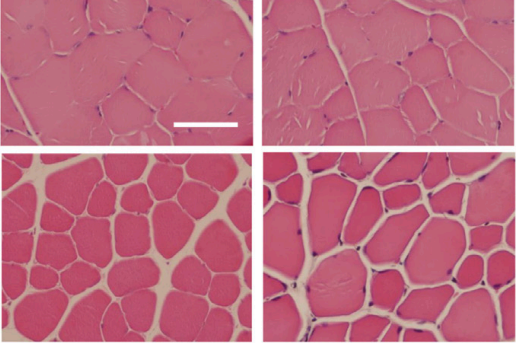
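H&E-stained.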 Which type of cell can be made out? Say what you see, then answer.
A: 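Tightly packed polygonal pink profiles separated by thin pale spaces. Small dark purple nuclei sit at the edges of the profiles, not in their centres. No other cell type fills the field. The answer: muscle fibers.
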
